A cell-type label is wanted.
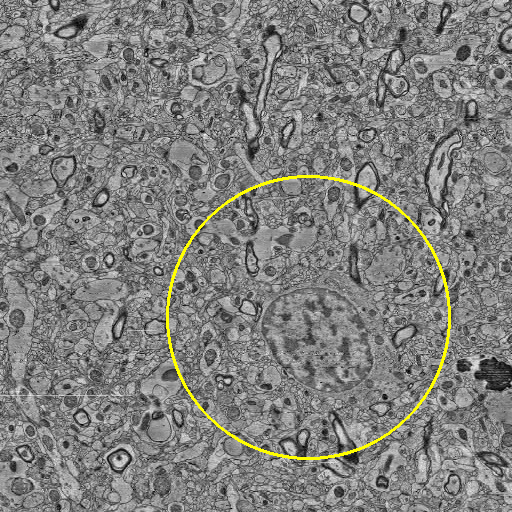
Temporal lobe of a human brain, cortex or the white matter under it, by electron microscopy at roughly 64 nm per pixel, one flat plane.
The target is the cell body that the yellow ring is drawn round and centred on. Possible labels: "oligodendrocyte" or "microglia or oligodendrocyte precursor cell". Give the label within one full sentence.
Of the labels offered, the cell in the middle of the yellow ring is an oligodendrocyte.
